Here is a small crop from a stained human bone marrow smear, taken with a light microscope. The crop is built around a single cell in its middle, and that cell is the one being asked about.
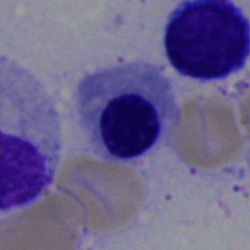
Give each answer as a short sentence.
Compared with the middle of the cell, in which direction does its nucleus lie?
The nucleus lies toward the bottom of the cell.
